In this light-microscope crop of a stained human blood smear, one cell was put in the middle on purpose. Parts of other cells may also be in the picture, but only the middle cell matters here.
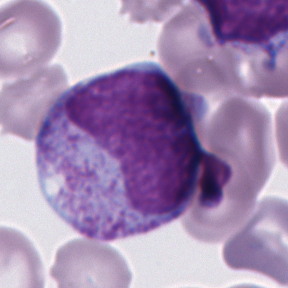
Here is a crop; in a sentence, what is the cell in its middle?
Centrally within this crop lies a myelocyte.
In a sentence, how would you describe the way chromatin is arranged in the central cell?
Heads up, the chromatin is fine with no coarse clumps in it.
